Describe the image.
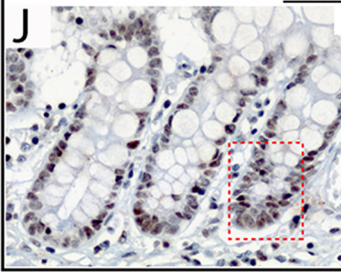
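Intestinal mucosa with crypts cut longitudinally, lined by a single layer of columnar epithelium. Many cells in the lining are goblet-shaped, with large pale clear vacuoles that fill the upper part of the glands. Toward the rounded base of each crypt the epithelial nuclei are crowded and many are stained brown, with the stain confined to the nucleus. Between the crypts a thin stroma holds scattered small dark round nuclei of connective tissue and inflammatory cells. The red dashed box outlines the base of one crypt.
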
